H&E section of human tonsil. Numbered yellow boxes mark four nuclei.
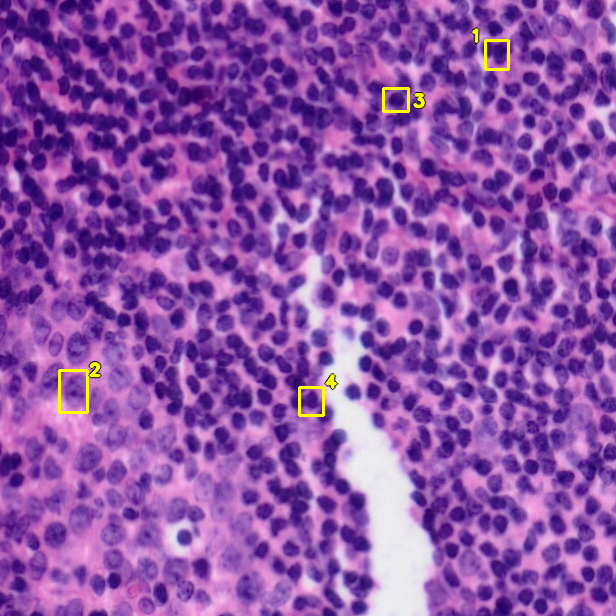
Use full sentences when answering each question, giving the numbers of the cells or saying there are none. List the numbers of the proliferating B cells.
Cell 2 alone, of all the numbered cells, is a proliferating B cell.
